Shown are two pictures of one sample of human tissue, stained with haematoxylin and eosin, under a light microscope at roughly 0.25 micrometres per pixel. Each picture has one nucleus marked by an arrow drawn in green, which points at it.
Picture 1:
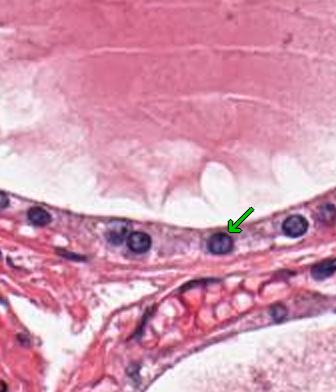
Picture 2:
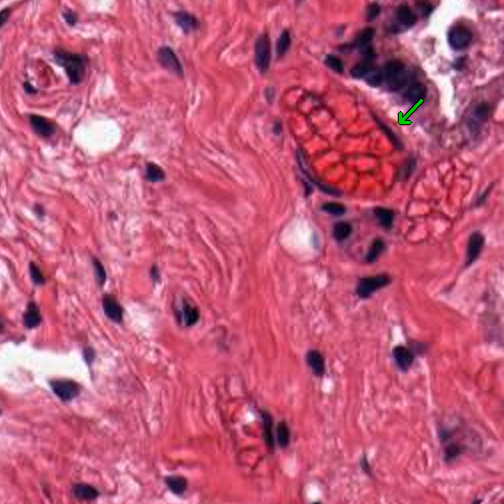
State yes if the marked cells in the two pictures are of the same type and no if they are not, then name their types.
No, the first is a thyroid follicular cell and the second an endothelial cell.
